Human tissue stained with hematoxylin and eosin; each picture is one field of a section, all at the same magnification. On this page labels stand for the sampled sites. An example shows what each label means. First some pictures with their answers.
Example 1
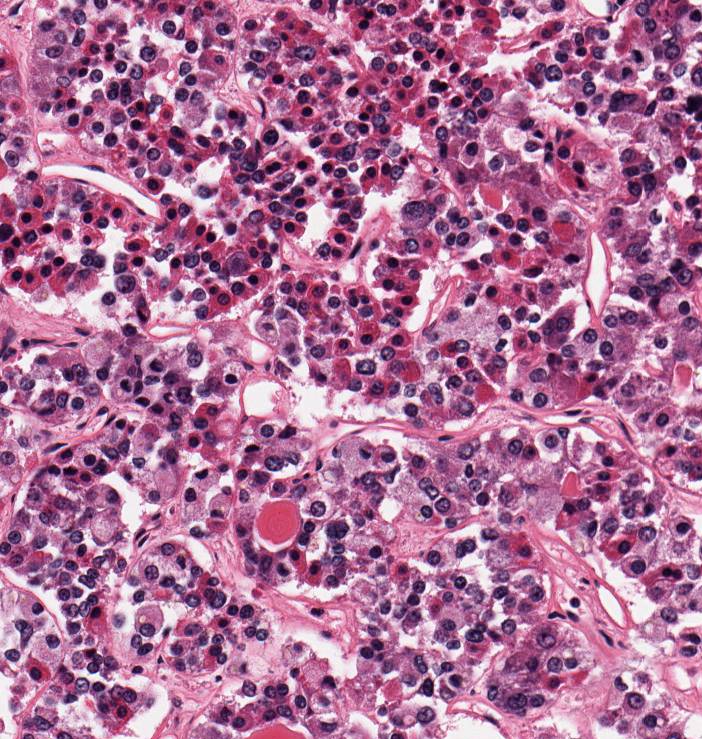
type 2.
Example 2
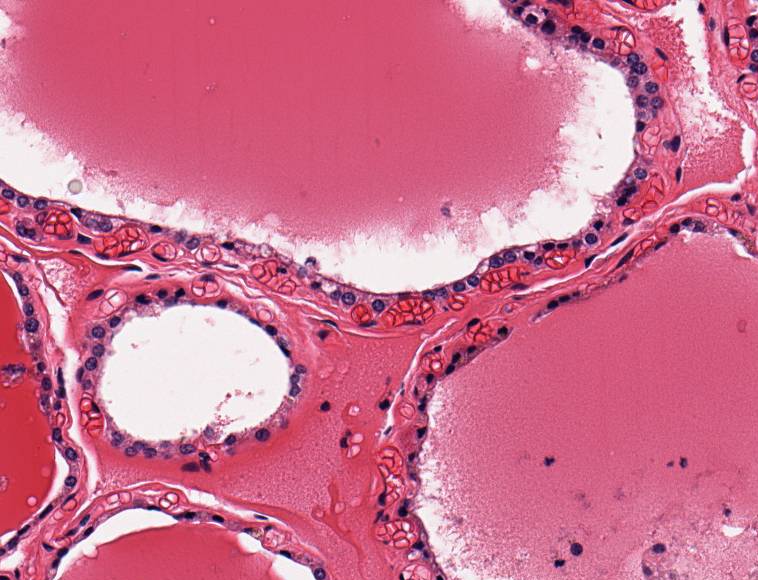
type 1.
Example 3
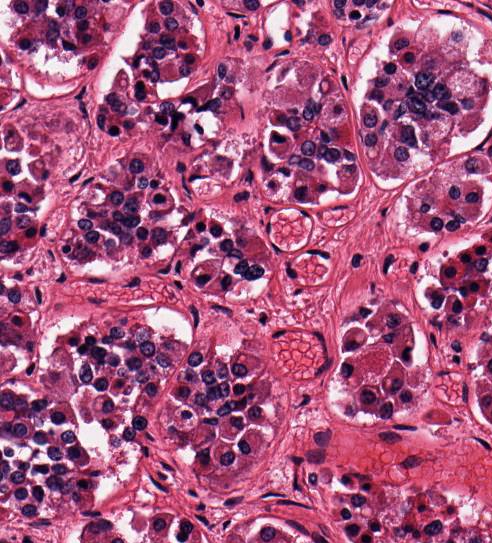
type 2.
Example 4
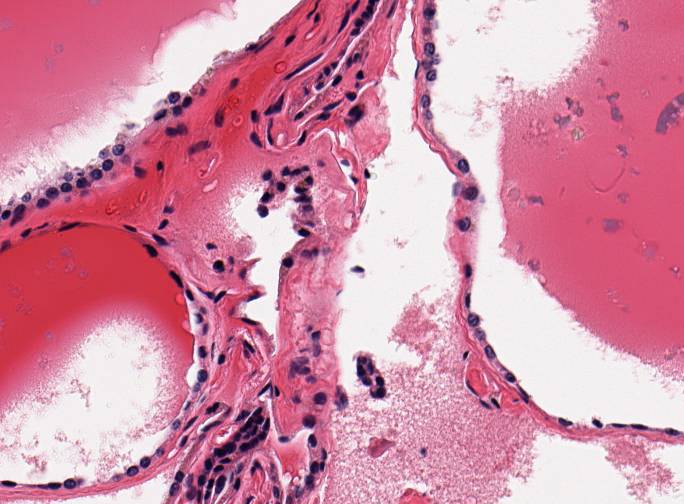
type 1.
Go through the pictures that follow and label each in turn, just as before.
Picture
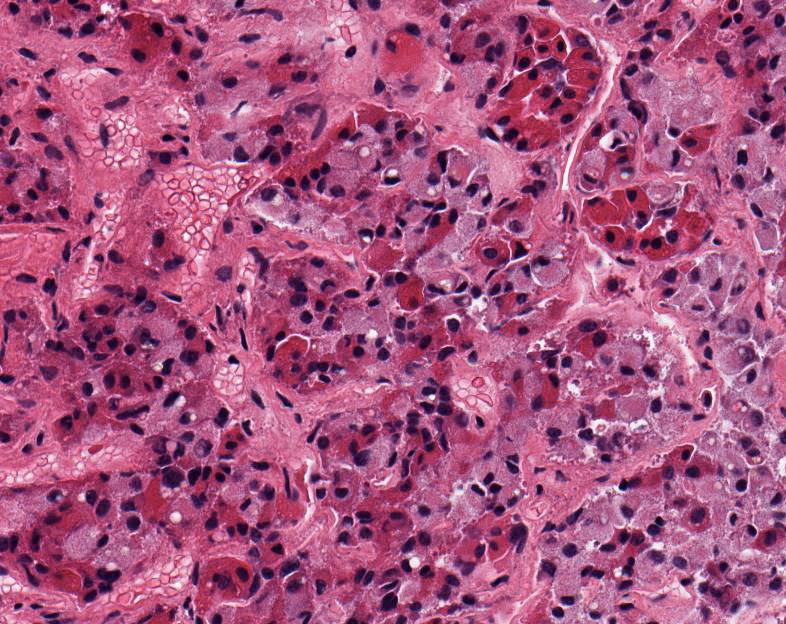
type 2.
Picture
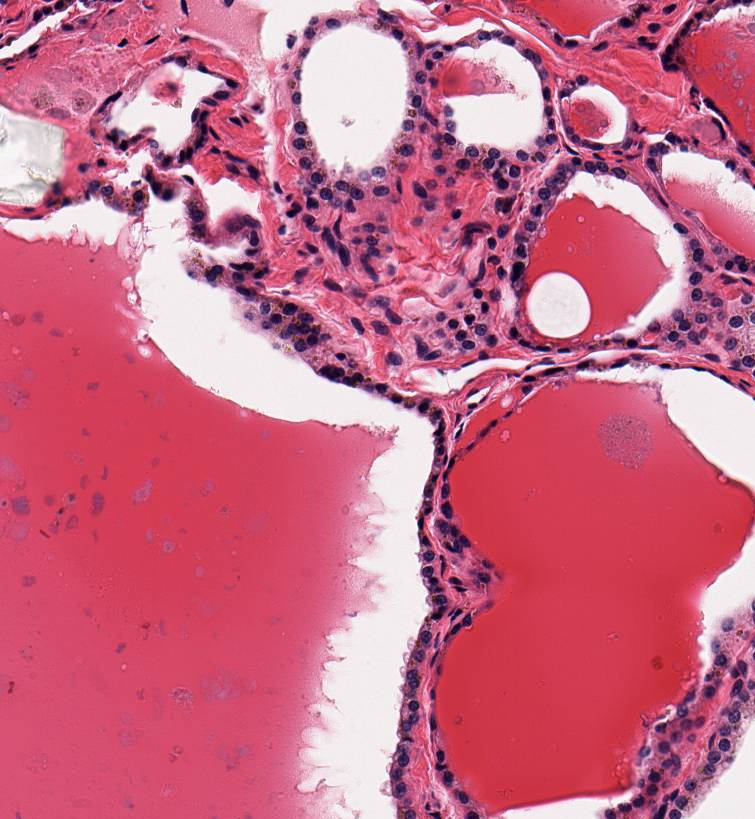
type 1.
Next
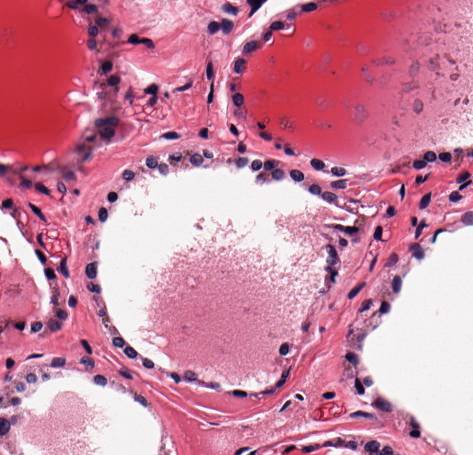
type 1.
